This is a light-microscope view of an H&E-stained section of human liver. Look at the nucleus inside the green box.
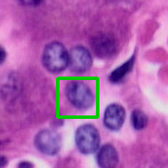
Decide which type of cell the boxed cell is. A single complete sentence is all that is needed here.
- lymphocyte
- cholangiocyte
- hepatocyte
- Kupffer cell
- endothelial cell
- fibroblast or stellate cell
At the level of cell identity, the boxed cell is a cholangiocyte.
